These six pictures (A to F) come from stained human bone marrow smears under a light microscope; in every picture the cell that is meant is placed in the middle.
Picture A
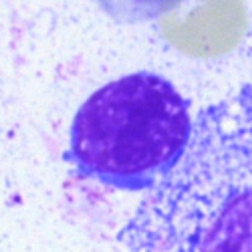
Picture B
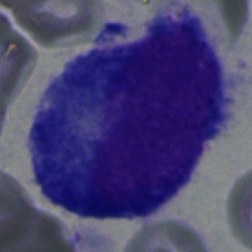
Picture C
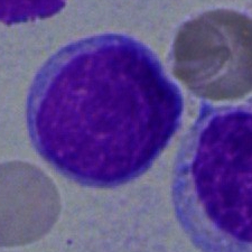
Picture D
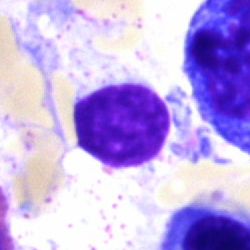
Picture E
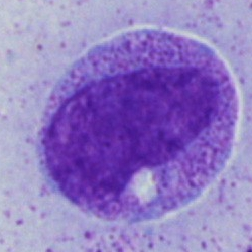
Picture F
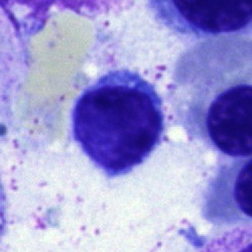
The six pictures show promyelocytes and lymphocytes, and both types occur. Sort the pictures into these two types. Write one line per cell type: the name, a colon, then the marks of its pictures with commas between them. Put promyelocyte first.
promyelocyte: B, E
lymphocyte: A, C, D, F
